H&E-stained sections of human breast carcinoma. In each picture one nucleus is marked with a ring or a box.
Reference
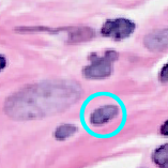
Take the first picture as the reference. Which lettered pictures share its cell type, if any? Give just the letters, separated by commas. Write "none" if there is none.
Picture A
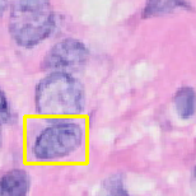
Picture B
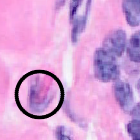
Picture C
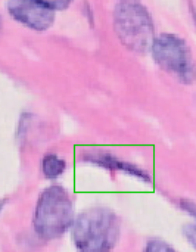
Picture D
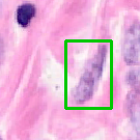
none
